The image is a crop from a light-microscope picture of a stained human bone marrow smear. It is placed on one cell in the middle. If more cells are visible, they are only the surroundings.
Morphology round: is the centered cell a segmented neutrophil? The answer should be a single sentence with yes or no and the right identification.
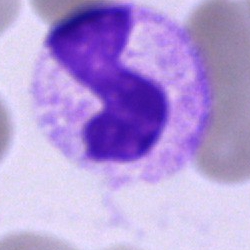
No, the one in the center is not a segmented neutrophil; it is a band neutrophil.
